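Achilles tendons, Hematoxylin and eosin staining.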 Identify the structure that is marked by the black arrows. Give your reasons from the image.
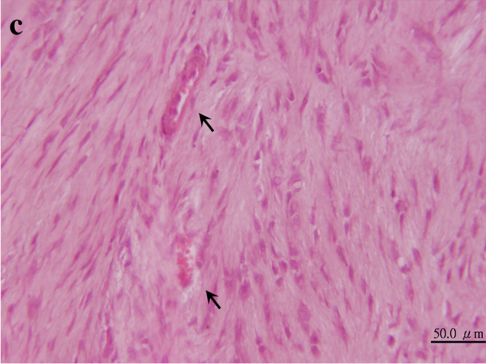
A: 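Elongated channels filled with red-staining blood cells. Channels run among spindle-shaped cells. The answer: vascular structure.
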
